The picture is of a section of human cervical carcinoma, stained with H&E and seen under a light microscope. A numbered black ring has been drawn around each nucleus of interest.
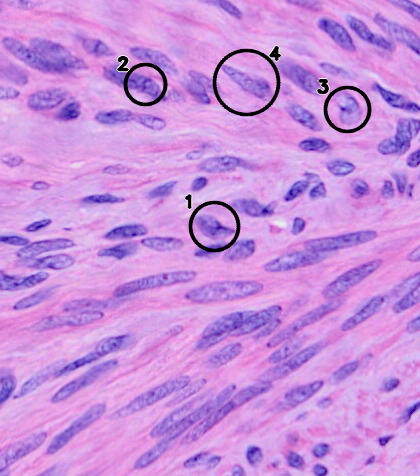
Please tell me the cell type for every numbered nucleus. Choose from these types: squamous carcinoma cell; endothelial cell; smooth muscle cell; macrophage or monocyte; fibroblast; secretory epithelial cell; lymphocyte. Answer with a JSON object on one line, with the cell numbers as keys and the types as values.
{"1": "fibroblast", "2": "smooth muscle cell", "3": "smooth muscle cell", "4": "smooth muscle cell"}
